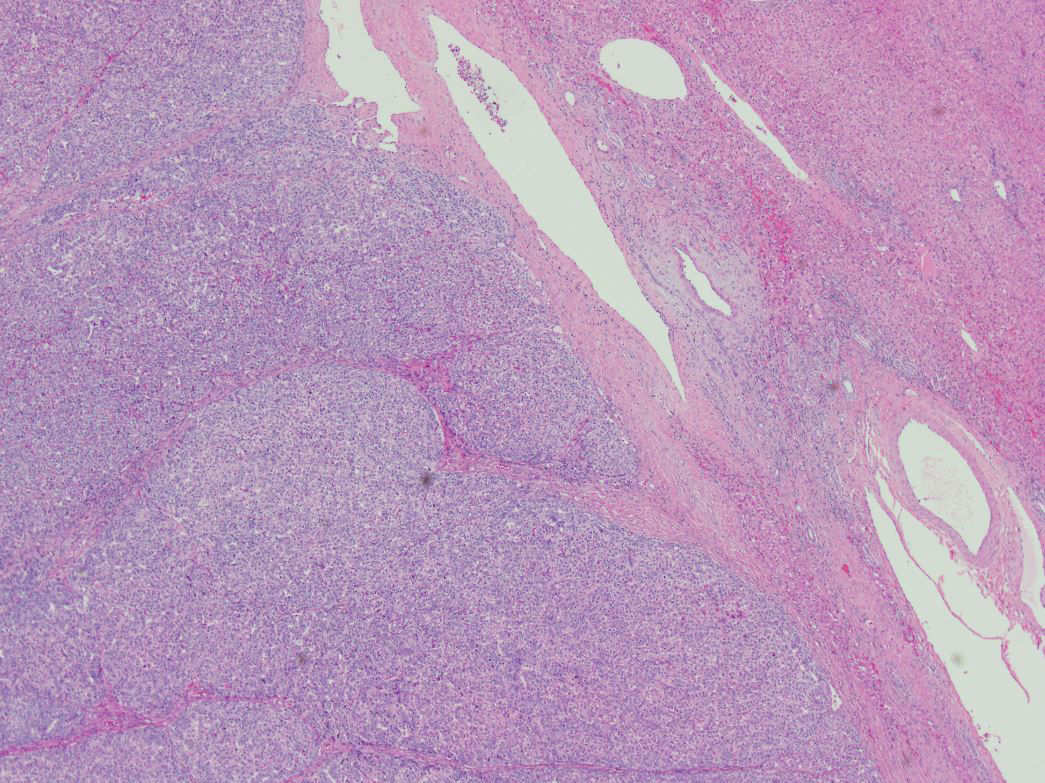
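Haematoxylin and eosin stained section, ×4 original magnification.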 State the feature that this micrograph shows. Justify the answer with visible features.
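The tumor forms rounded, solid lobules of cells without glands or spaces. The lobules are separated by thin pink fibrous septa.
Hence: solid nodules.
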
